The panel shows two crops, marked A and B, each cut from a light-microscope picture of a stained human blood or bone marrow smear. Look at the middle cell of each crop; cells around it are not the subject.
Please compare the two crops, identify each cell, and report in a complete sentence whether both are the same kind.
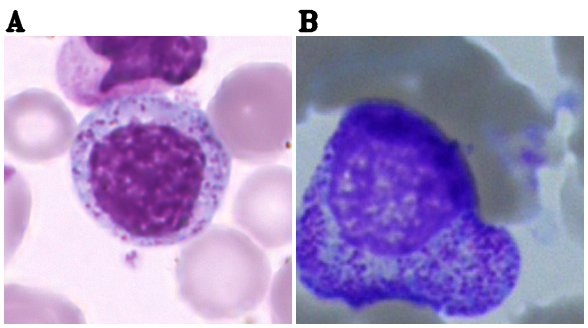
Yes, myelocytes occupy the centre of both crops.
